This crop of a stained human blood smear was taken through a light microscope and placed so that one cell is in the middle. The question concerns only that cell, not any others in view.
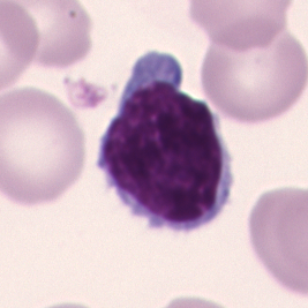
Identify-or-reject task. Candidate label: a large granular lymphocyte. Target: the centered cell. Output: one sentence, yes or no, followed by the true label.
No, not a large granular lymphocyte: the cell in the middle of this crop is a typical lymphocyte.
